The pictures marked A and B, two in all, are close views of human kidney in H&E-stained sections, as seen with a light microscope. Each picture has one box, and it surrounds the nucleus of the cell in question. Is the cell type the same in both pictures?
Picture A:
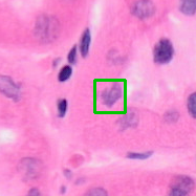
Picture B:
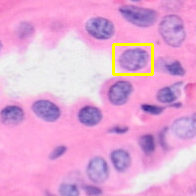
yes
